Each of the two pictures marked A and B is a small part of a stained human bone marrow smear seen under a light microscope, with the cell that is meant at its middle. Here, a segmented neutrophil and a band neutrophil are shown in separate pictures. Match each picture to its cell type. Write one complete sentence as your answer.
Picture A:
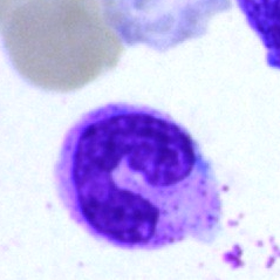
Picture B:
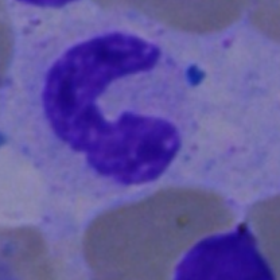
The cell in picture A is a band neutrophil, and the one in picture B is a segmented neutrophil.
